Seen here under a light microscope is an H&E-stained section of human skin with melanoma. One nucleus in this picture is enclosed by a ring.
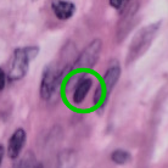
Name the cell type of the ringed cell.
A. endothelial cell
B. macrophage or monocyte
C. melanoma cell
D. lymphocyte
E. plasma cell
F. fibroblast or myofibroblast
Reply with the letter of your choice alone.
A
